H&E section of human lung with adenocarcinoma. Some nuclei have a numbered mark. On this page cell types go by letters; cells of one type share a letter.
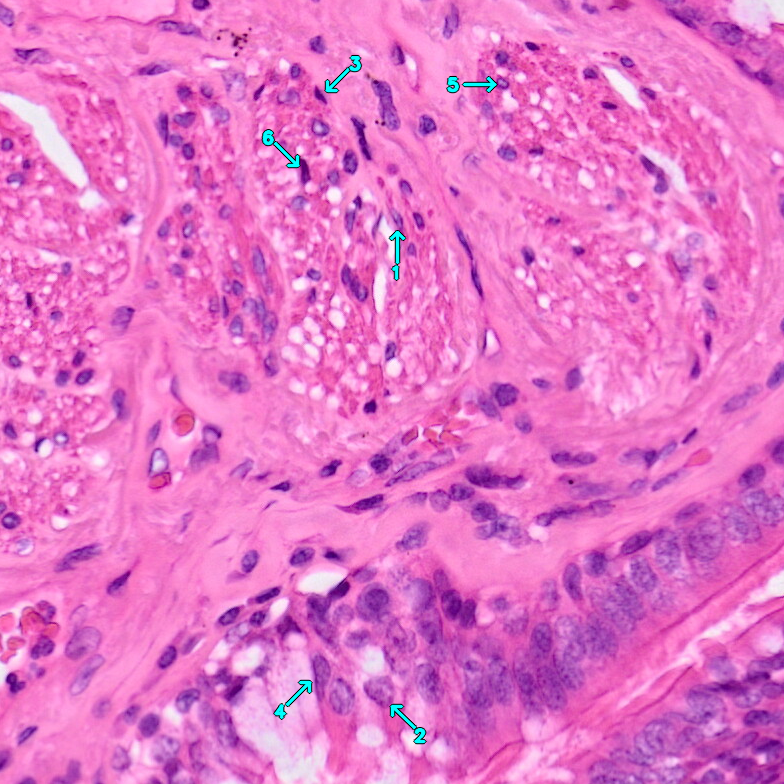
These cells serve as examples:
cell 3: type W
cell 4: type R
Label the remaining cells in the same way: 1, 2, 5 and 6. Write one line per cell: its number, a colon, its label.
1: type W
2: type R
5: type W
6: type W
